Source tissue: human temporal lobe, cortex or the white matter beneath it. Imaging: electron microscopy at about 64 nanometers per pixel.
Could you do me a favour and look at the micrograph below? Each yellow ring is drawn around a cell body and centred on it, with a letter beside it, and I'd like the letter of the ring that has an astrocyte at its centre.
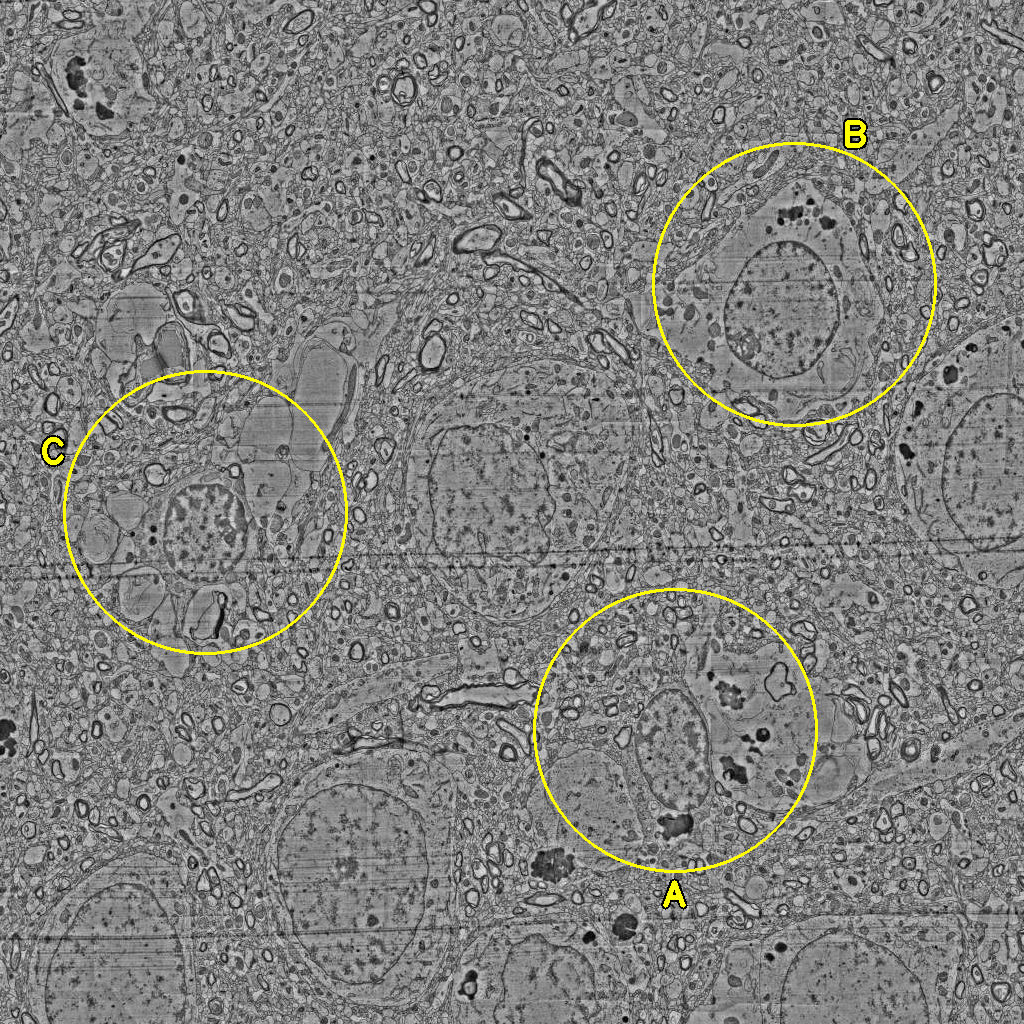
B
